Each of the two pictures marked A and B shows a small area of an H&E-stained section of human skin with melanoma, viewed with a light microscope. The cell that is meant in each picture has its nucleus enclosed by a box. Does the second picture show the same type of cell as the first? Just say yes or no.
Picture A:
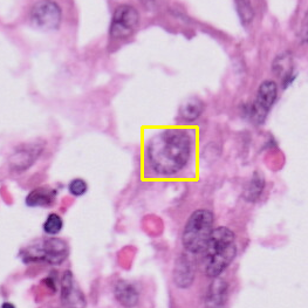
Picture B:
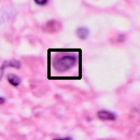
no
